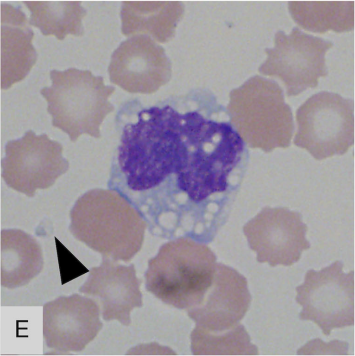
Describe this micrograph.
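This blood smear shows a large monocyte with a vacuolated cytoplasm among red cells, and a platelet nearby. The monocyte has a large, irregular purple nucleus with lacy chromatin. Its grey-blue cytoplasm is filled with many clear round vacuoles of various sizes, some also overlying the nucleus. A small pale fragment without a nucleus, much smaller than a red cell, lies at the arrowhead to the lower left. Many surrounding red cells show crenated, spiky outlines.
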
